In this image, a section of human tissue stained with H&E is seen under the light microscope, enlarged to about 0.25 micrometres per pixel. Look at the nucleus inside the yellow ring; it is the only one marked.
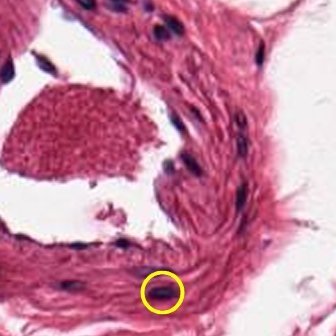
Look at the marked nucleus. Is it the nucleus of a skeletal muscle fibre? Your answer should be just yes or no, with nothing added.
no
